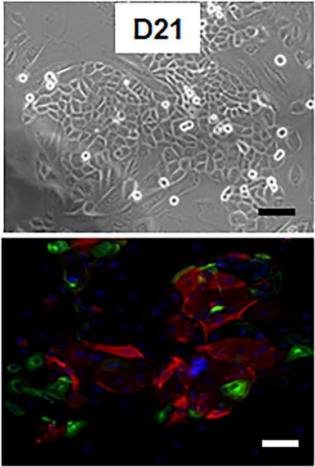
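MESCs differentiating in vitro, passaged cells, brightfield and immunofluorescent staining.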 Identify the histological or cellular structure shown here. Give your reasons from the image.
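In the upper image, polygonal cells lie packed edge to edge in a compact cluster. The cluster has a clear border against sparser surroundings.
Hence: colonies.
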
